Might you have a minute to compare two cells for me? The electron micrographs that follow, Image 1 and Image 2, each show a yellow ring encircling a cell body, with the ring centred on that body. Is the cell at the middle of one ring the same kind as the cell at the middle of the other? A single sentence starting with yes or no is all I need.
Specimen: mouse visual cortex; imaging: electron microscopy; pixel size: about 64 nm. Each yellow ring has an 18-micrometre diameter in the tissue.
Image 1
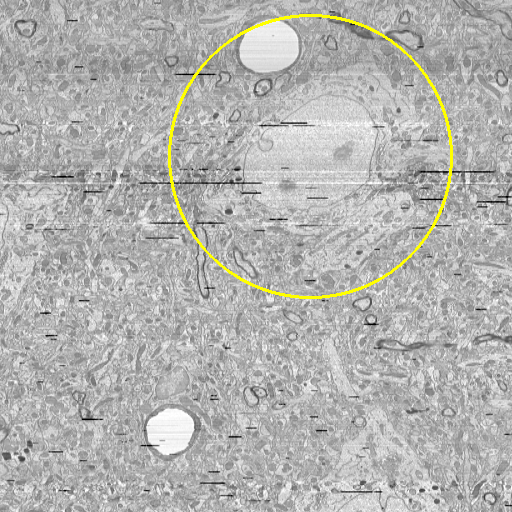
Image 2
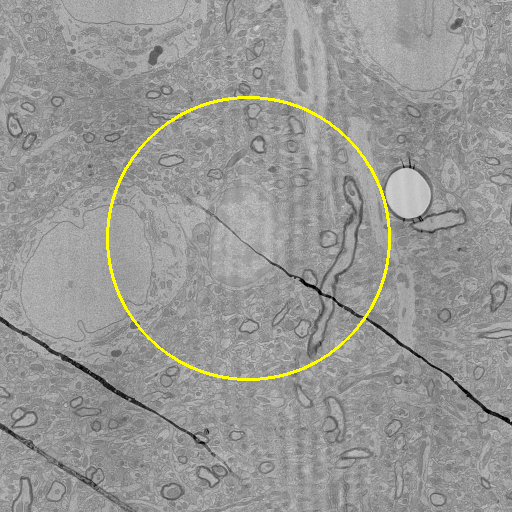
No, the cells in the middle of the two rings are of two separate kinds.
